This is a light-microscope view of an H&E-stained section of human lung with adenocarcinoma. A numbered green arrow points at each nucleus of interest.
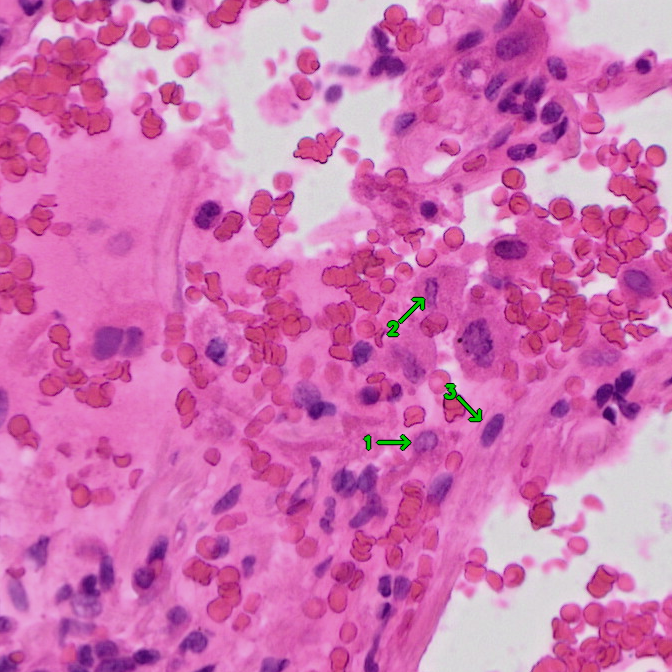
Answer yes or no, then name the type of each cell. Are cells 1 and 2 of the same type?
Yes, the cell marked 1 and the cell marked 2 are both macrophages or monocytes.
